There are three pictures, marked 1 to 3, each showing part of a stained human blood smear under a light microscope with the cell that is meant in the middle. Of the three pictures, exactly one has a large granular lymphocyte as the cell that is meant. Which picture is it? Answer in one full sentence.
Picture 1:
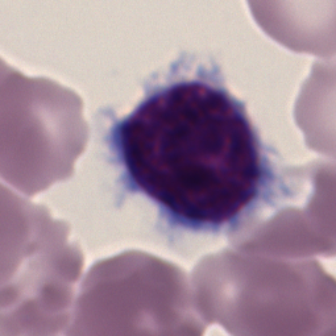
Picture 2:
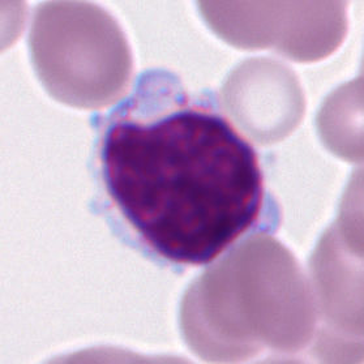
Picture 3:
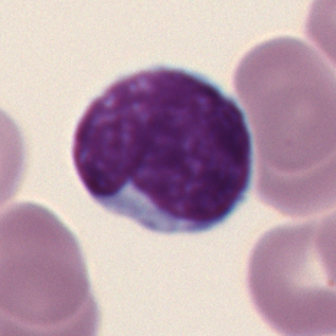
The picture with the large granular lymphocyte is 2.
